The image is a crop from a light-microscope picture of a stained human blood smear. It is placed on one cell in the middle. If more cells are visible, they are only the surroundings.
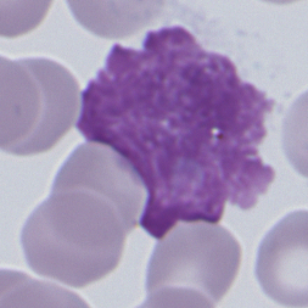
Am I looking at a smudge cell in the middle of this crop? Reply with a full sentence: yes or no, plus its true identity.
Yes, the cell at the middle of the field is to be classed as a smudge cell.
